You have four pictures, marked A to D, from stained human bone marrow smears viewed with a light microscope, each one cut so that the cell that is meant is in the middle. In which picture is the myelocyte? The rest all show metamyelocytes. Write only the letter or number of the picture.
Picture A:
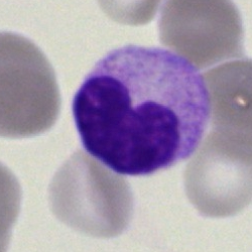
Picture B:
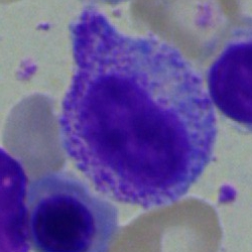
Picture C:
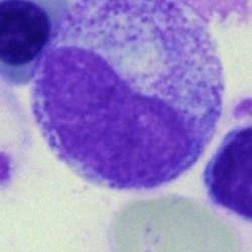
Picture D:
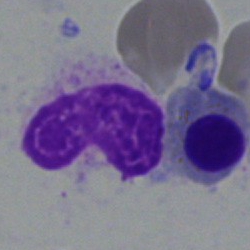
B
